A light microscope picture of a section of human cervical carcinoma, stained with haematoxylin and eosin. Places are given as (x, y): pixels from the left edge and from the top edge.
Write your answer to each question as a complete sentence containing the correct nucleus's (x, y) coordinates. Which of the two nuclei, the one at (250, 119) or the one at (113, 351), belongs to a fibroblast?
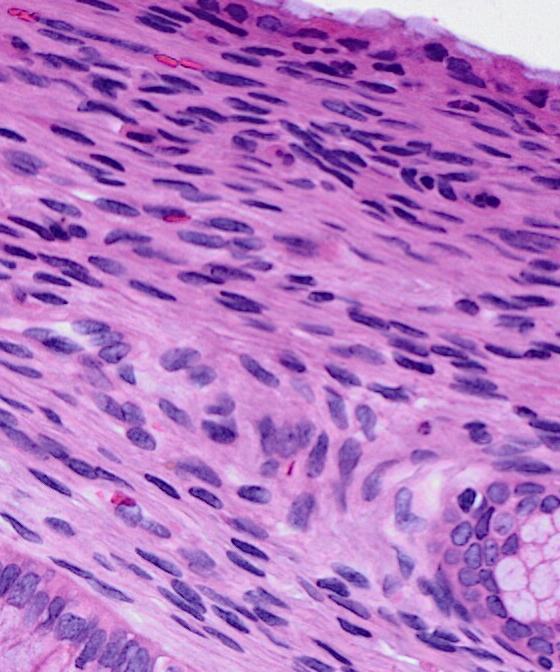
Between the pair, the nucleus at (250, 119) belongs to a fibroblast.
